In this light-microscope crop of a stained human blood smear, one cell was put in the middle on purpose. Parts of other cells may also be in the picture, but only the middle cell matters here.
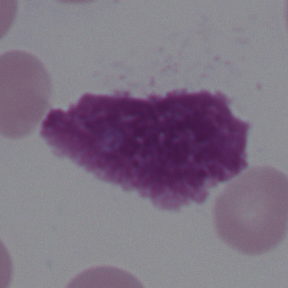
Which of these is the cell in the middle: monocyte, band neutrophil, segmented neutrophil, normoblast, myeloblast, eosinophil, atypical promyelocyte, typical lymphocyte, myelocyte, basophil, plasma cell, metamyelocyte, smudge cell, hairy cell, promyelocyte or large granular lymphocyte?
smudge cell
